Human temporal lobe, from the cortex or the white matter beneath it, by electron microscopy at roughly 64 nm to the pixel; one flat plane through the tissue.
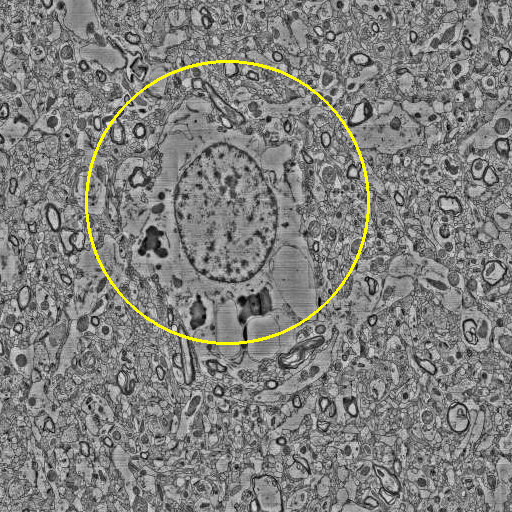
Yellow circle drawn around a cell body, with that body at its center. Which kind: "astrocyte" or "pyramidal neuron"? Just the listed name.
astrocyte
